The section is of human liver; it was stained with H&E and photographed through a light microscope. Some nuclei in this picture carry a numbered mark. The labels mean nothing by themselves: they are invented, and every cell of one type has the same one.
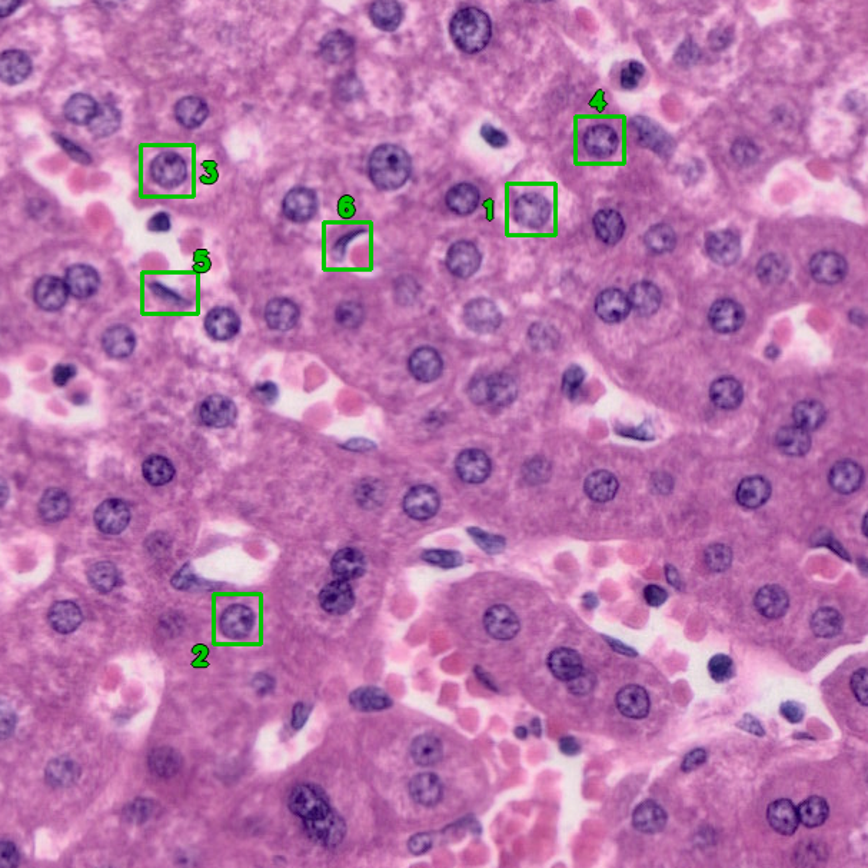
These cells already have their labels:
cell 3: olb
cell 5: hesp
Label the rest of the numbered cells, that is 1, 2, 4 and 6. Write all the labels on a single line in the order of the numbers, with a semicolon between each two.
olb; olb; olb; hesp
